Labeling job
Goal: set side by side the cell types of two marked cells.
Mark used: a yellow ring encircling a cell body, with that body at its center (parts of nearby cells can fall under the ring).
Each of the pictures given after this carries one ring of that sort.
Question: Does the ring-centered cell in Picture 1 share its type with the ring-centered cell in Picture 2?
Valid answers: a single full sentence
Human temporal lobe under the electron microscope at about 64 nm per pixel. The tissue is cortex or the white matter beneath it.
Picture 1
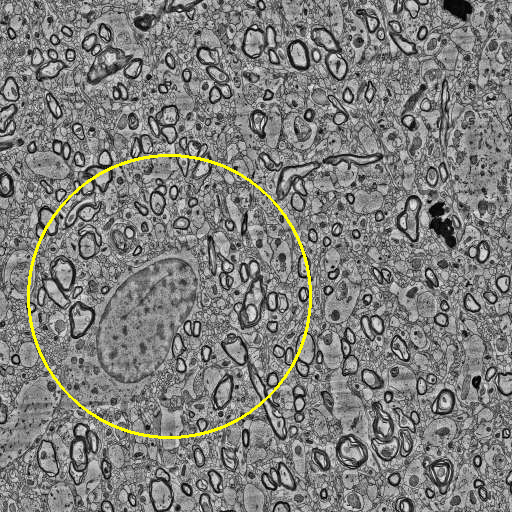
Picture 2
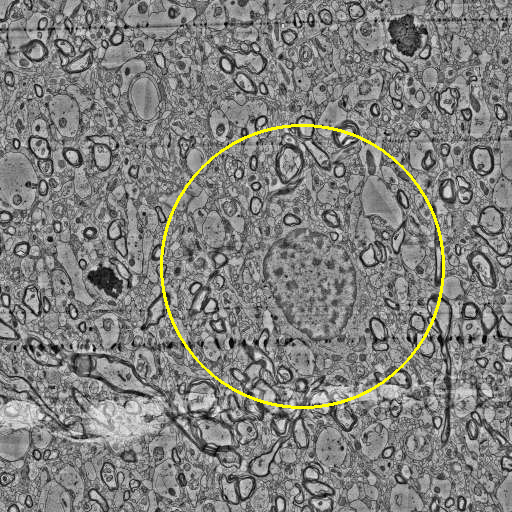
Yes, in Pictures 1 and 2 the cells at the ring centers share one type.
